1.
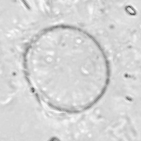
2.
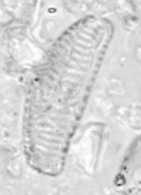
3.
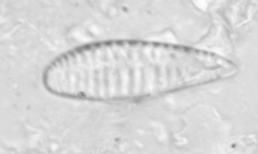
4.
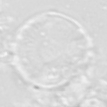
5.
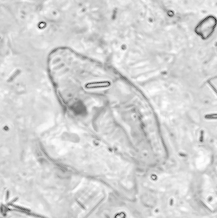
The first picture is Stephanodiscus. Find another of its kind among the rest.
Picture 4.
